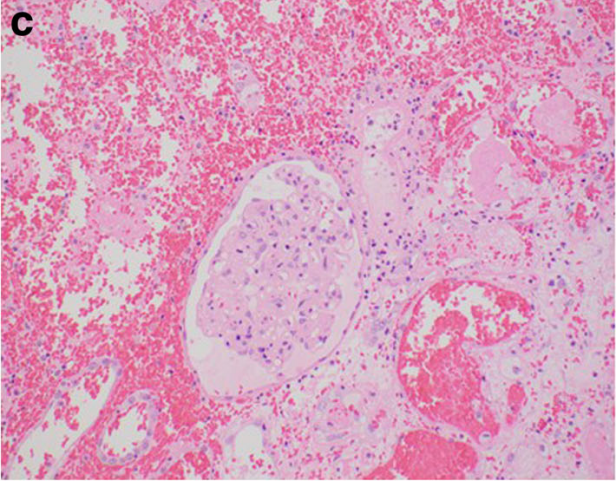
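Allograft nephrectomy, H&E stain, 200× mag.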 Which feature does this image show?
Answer: Glomerulus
